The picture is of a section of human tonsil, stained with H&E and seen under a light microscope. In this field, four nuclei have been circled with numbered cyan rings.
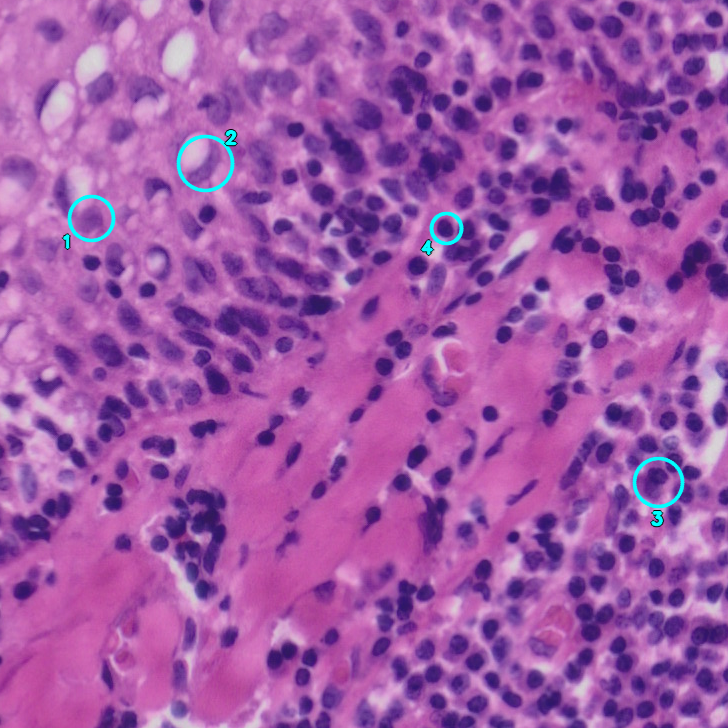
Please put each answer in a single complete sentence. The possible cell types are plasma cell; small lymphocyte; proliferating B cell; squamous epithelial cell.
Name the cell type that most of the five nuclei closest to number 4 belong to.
Around number 4, most of the five nearest nuclei are those of plasma cells.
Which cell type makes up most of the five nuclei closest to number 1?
Squamous epithelial cells account for more than half of the five nuclei nearest to number 1.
